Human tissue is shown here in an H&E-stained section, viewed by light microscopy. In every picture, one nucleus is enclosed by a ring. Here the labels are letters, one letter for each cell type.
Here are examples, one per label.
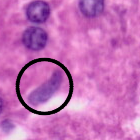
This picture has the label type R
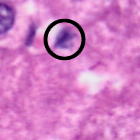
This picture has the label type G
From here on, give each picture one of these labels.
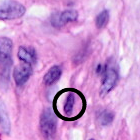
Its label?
type G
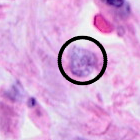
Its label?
type G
